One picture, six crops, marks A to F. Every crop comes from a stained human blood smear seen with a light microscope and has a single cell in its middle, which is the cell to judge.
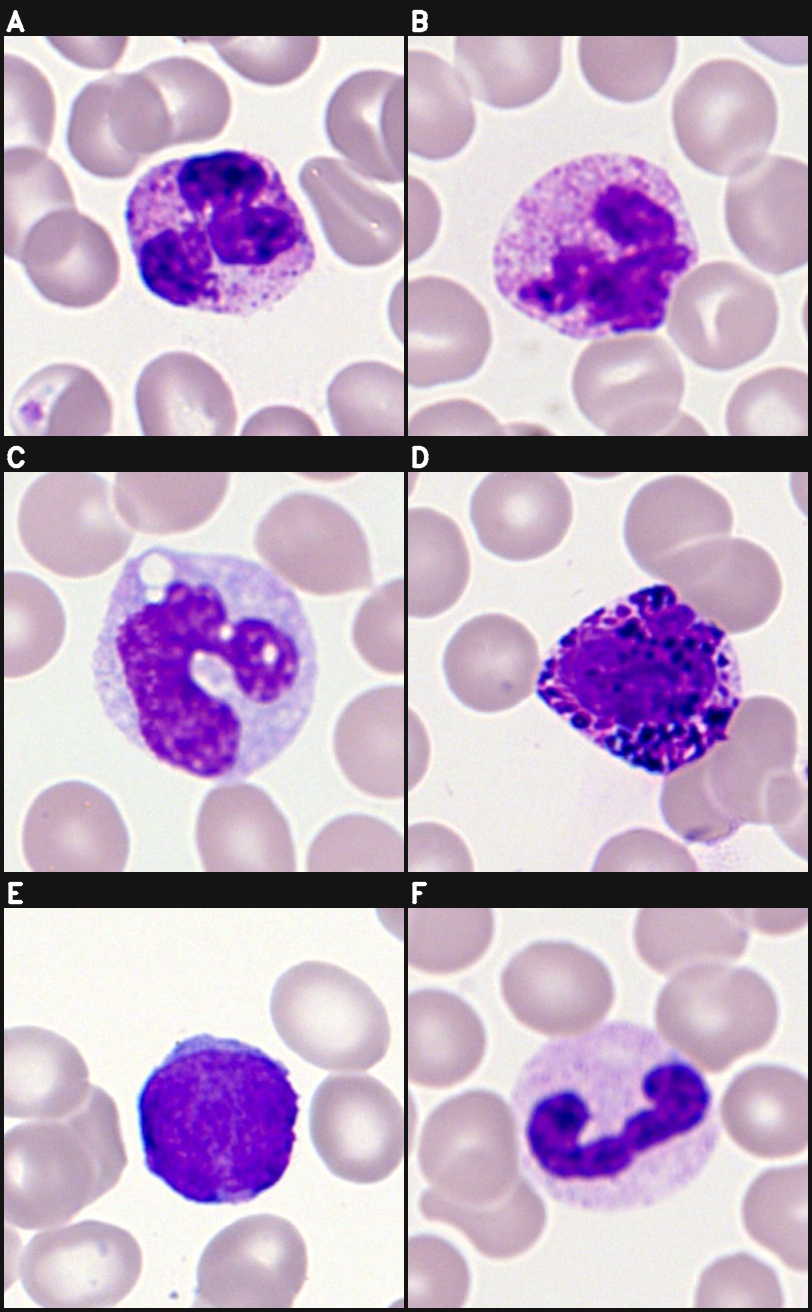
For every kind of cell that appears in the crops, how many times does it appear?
basophil: 3
monocyte: 1
myeloblast: 1
band neutrophil: 1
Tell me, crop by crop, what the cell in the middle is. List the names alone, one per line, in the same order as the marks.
basophil
basophil
monocyte
basophil
myeloblast
band neutrophil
